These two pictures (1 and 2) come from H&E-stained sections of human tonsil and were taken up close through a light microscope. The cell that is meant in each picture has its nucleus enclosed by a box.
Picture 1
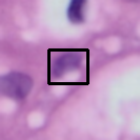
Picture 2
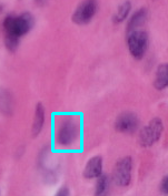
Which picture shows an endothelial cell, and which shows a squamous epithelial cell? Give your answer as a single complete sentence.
Picture 1 is of a squamous epithelial cell, and picture 2 is of an endothelial cell.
